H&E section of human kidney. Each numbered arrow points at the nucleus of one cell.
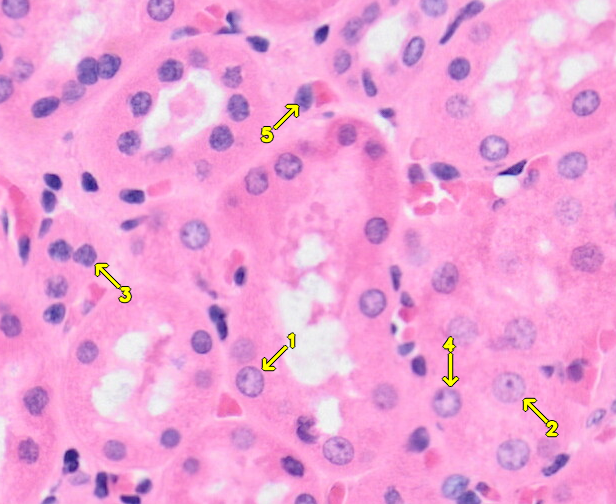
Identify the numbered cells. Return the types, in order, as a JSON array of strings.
["proximal tubule cell", "proximal tubule cell", "loop of Henle or distal tubule cell", "proximal tubule cell", "endothelial cell"]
